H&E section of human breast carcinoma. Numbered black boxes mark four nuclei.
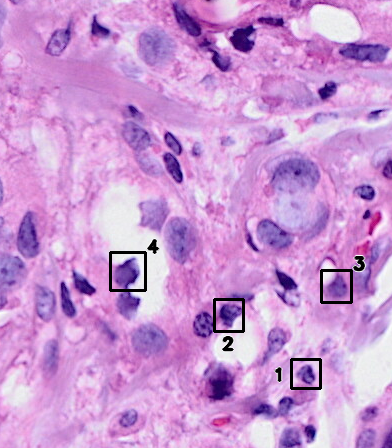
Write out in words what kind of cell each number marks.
Cells 1 and 2 are lymphocytes. Cell 3 is an endothelial cell. Cell 4 is a carcinoma cell.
